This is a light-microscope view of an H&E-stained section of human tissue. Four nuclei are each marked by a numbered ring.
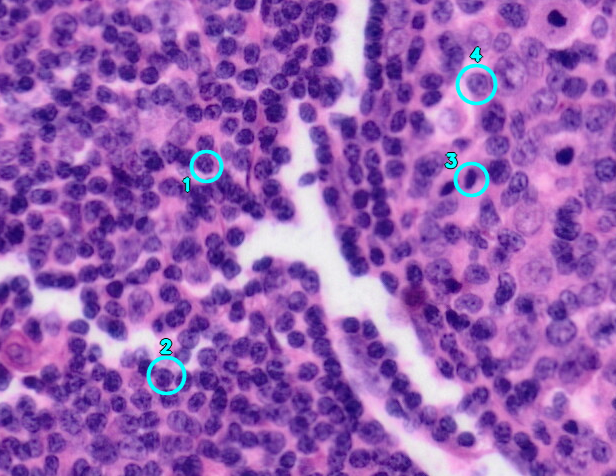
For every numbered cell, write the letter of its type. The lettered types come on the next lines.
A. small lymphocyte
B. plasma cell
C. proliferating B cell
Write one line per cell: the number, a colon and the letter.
1: A
2: A
3: C
4: C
